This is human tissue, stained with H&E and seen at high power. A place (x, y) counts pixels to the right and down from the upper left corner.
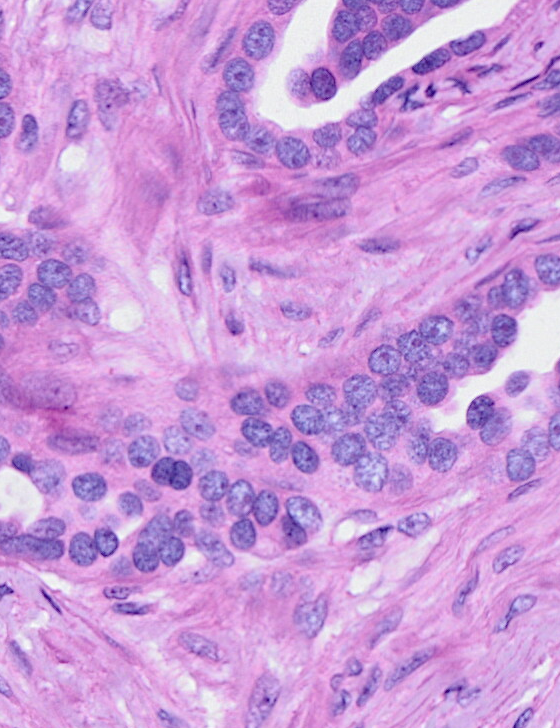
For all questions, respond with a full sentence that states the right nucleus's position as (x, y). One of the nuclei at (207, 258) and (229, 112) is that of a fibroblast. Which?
Of the two options, the nucleus at (207, 258) is the one that belongs to a fibroblast.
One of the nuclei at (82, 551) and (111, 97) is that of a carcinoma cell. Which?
The one nucleus of the two that belongs to a carcinoma cell is at (82, 551).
